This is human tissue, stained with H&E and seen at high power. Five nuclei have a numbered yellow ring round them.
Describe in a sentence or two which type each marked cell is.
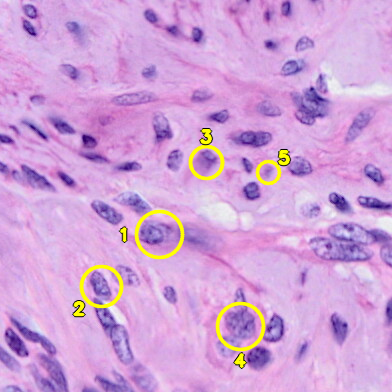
Cells 1, 2 and 4 are endothelial cells. Cells 3 and 5 are smooth muscle cells.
